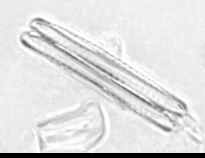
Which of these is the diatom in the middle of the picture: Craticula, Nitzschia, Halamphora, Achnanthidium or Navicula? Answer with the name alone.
Navicula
